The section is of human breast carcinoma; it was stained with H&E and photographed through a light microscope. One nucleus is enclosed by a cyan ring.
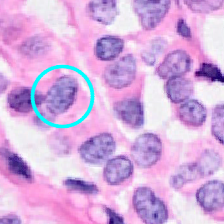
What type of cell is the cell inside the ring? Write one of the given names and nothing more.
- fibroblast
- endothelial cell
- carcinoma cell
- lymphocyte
carcinoma cell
